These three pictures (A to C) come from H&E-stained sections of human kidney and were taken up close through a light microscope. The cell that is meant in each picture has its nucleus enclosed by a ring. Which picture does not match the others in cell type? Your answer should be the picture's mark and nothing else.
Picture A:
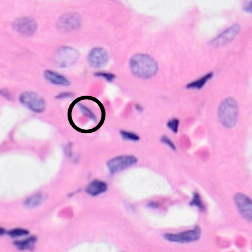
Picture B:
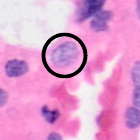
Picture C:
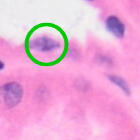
A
